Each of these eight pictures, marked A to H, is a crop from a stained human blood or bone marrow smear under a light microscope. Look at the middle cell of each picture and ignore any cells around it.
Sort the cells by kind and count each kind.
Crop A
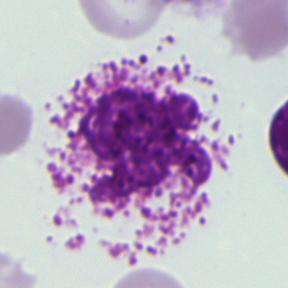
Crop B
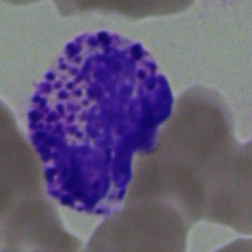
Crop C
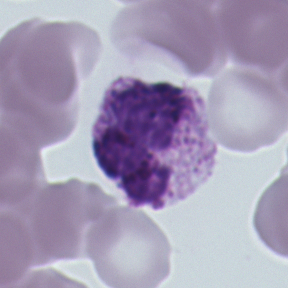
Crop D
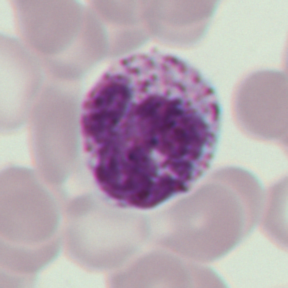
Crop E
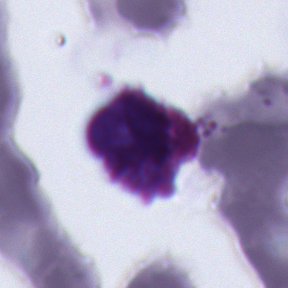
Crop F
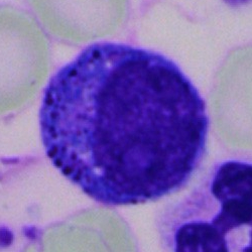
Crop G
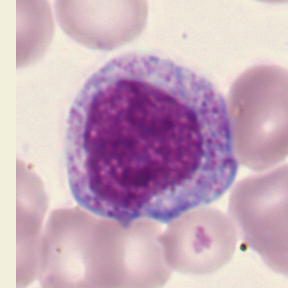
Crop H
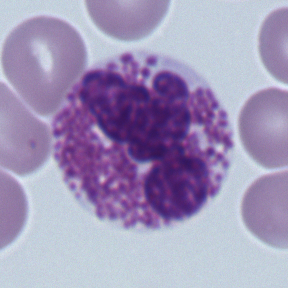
basophil: 4
eosinophil: 2
promyelocyte: 2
